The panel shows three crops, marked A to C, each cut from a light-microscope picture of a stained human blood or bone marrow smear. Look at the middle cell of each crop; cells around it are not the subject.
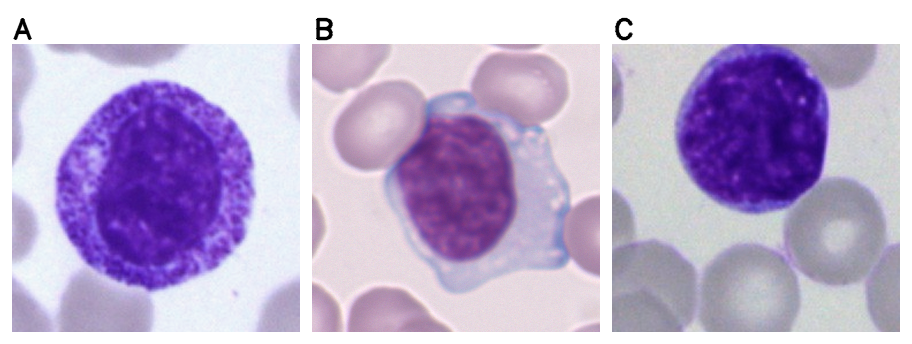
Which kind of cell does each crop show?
A: promyelocyte
B: blast
C: blast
